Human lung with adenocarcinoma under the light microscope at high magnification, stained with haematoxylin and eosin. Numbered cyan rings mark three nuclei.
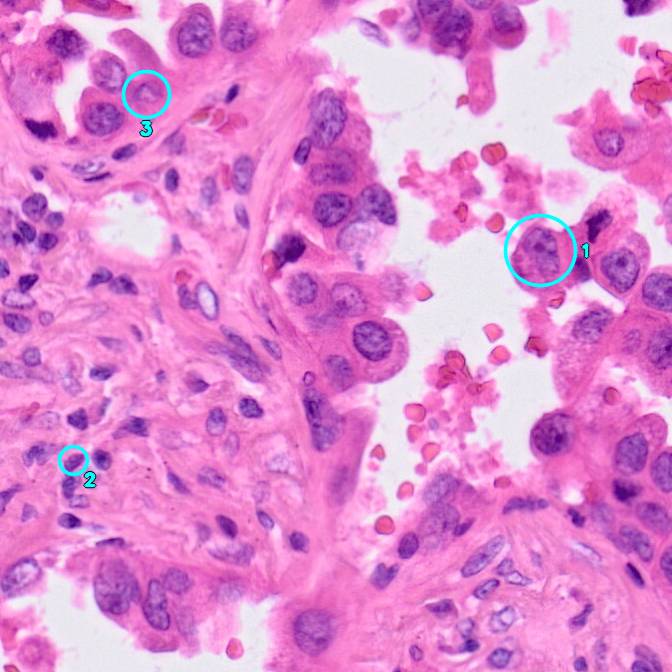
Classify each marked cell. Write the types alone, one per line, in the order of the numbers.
carcinoma cell
lymphocyte
carcinoma cell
